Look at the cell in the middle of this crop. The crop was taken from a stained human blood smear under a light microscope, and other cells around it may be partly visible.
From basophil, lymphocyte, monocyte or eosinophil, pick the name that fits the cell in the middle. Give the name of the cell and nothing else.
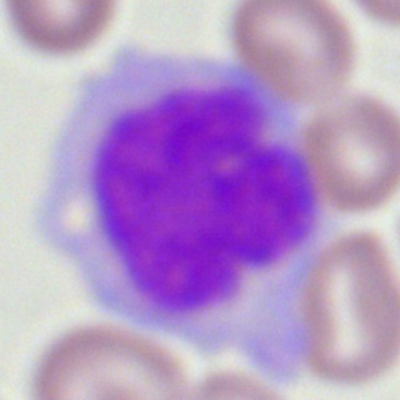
monocyte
